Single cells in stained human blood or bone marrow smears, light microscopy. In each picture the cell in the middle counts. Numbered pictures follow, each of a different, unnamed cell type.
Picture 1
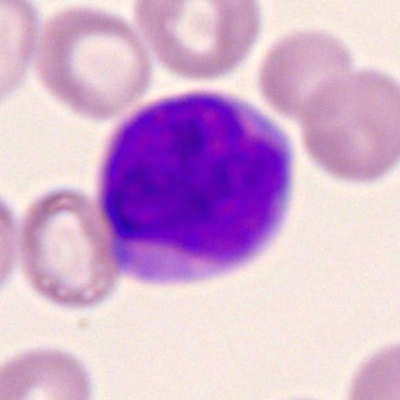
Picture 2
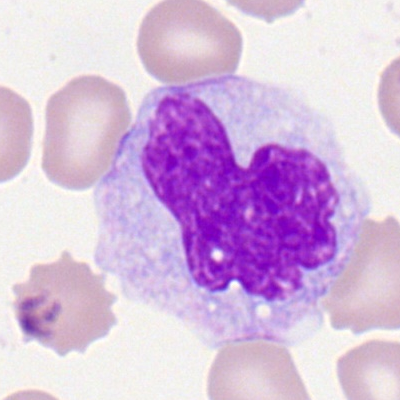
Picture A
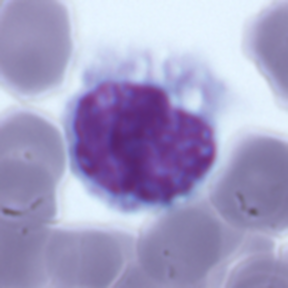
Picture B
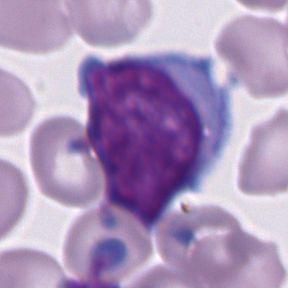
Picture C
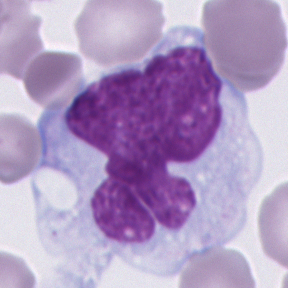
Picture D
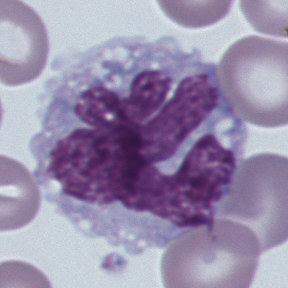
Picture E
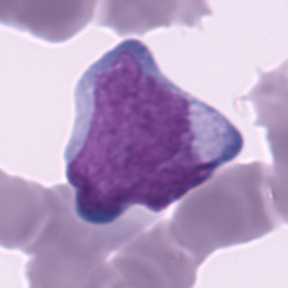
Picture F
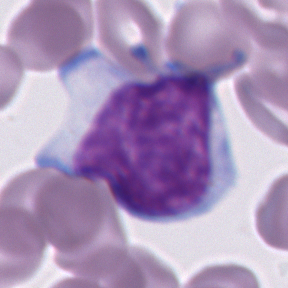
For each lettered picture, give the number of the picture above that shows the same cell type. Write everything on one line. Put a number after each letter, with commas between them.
A 2, B 1, C 2, D 2, E 1, F 1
